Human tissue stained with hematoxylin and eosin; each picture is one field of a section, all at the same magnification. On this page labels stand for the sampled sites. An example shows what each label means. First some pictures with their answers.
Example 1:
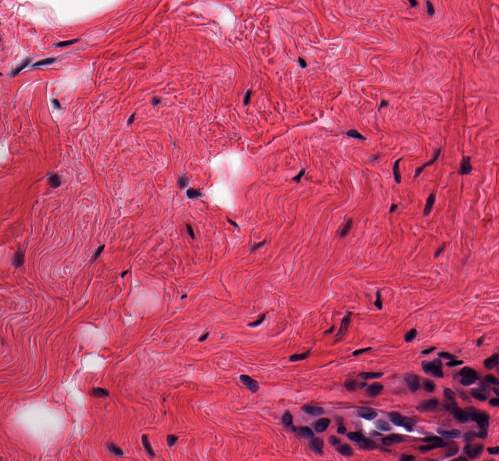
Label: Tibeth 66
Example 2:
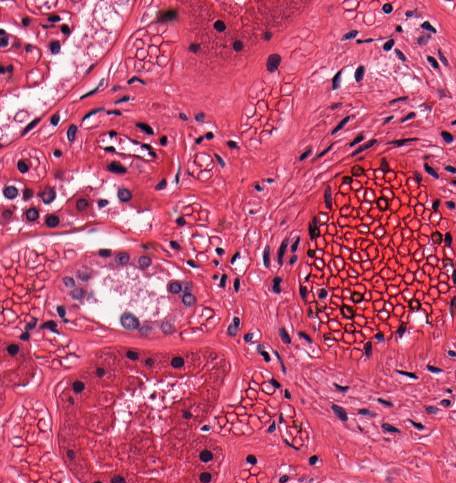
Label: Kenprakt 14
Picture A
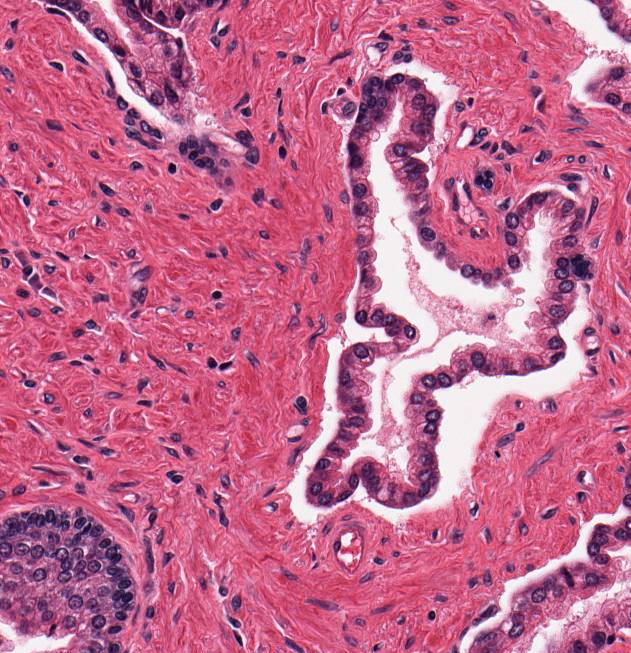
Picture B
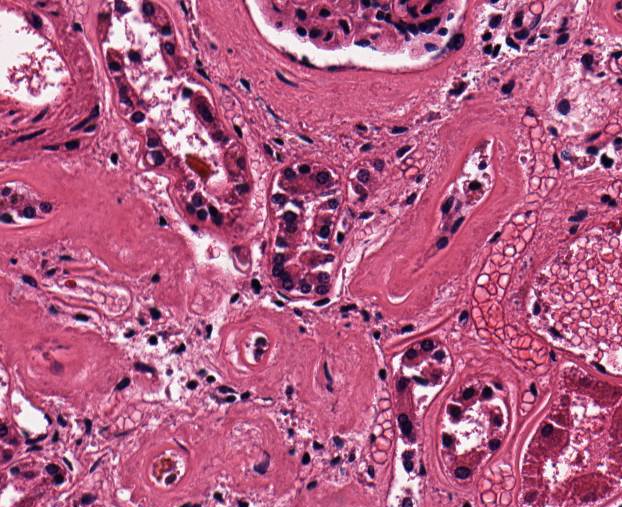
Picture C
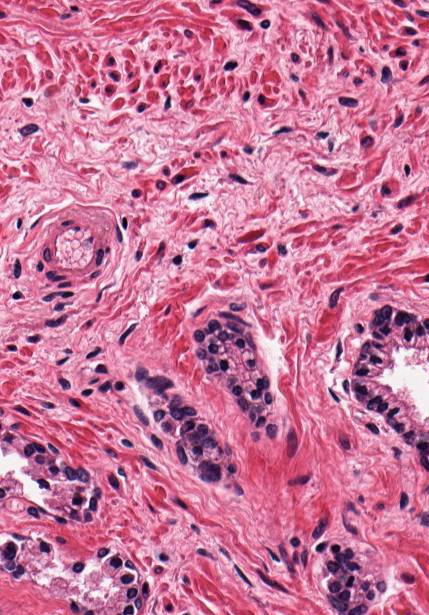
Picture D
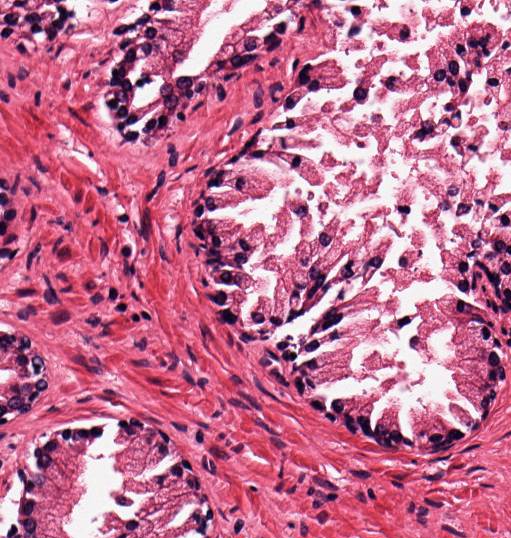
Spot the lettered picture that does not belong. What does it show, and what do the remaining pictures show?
B (Kenprakt 14) is the exception; every other picture is Tibeth 66.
